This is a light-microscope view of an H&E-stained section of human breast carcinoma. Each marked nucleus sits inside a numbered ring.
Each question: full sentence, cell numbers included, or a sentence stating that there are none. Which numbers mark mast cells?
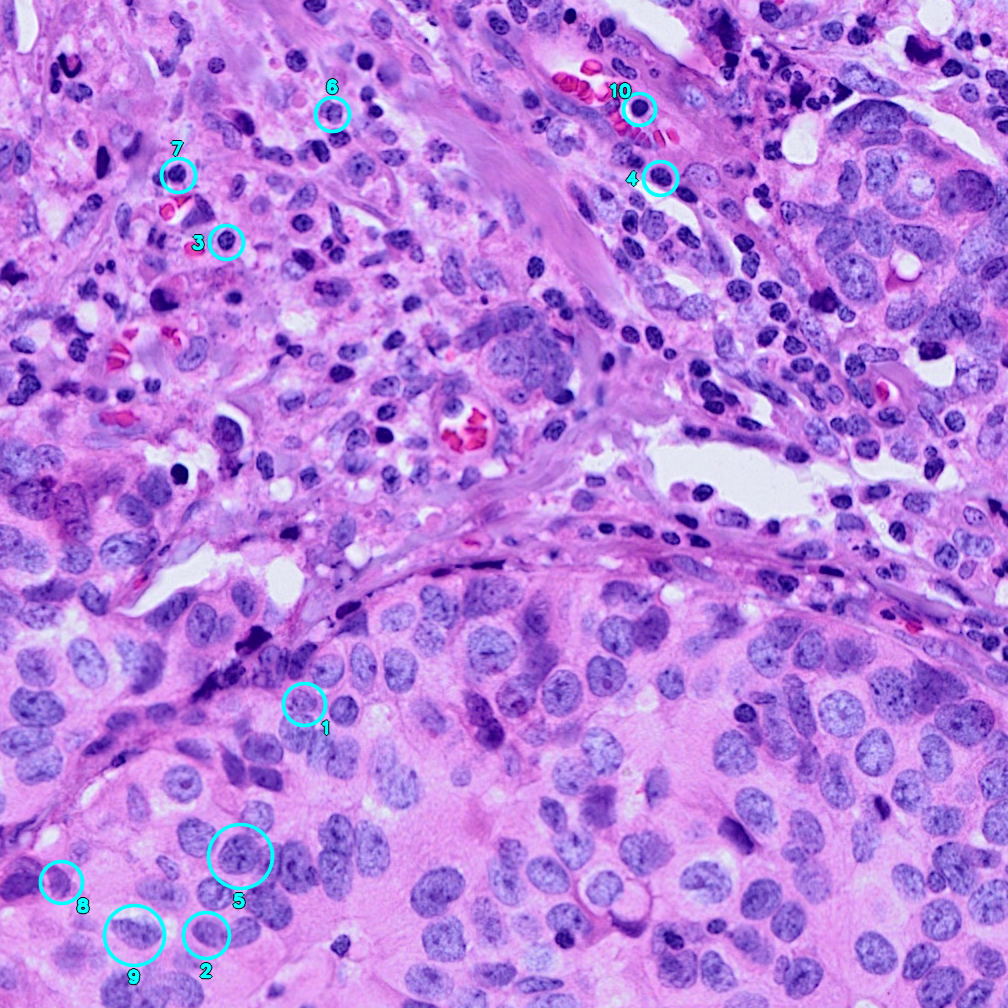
Only cell 6 should be marked as a mast cell.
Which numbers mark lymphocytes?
The cells which carry the numbers 3, 4, 7 and 10 are lymphocytes.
